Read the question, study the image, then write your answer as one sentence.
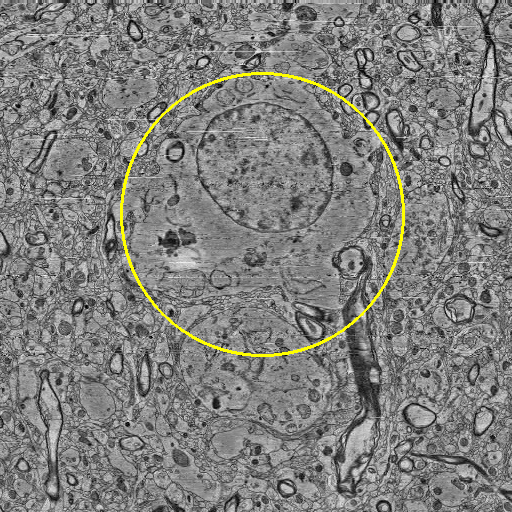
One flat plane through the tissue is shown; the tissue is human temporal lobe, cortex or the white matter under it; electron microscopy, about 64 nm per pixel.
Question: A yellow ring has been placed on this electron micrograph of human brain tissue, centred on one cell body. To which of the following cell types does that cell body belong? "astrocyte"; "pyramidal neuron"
That cell body belongs to an astrocyte.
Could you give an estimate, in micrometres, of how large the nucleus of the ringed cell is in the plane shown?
The nucleus works out at approximately 9 by 8 micrometres in this plane.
